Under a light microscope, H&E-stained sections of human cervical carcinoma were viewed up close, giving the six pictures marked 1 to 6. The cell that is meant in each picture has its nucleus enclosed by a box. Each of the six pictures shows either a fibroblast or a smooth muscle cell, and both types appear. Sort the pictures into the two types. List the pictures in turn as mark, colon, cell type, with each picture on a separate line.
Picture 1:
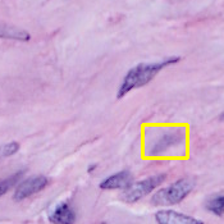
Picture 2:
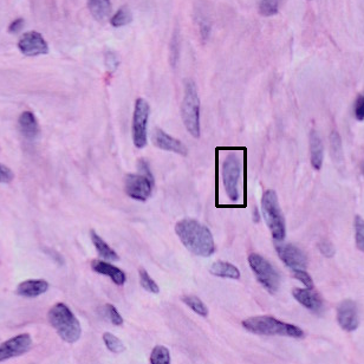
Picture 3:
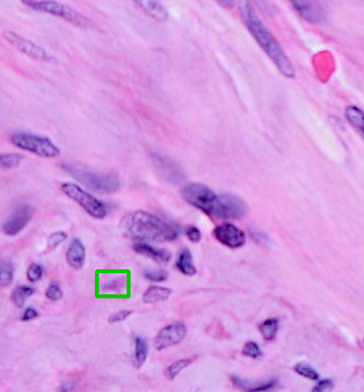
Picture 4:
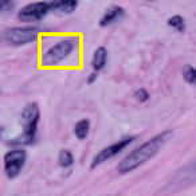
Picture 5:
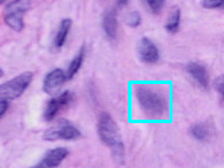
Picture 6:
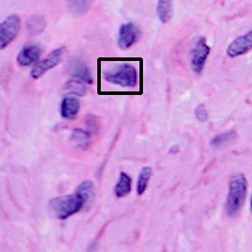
1: smooth muscle cell
2: fibroblast
3: smooth muscle cell
4: smooth muscle cell
5: fibroblast
6: fibroblast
